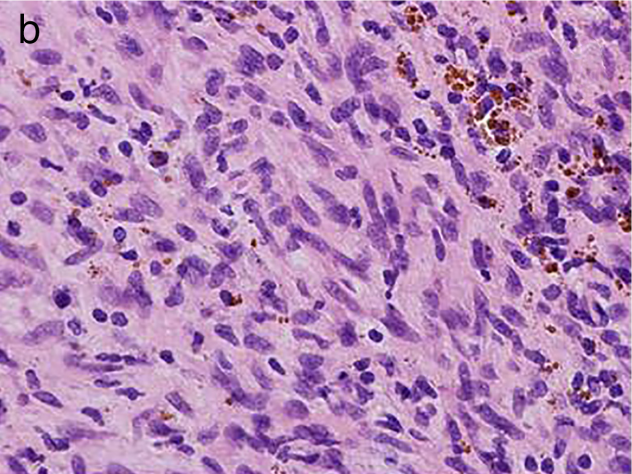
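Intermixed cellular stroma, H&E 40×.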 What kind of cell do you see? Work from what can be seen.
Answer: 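Small spindled and ovoid cells. Scant pale pink cytoplasm between the nuclei. Cells run in loose streams.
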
